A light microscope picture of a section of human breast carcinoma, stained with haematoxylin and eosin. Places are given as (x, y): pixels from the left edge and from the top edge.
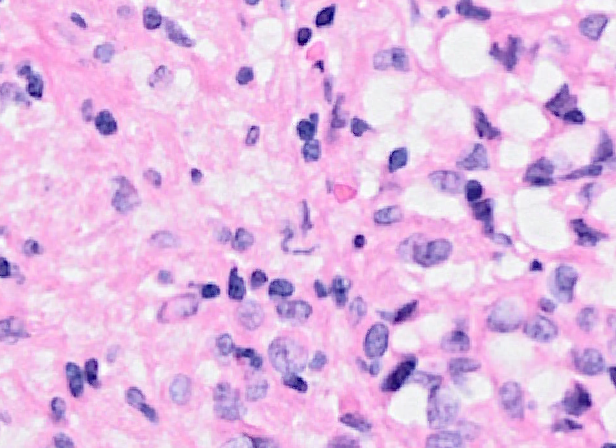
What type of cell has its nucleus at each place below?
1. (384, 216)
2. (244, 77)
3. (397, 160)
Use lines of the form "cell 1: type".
cell 1: endothelial cell
cell 2: lymphocyte
cell 3: lymphocyte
